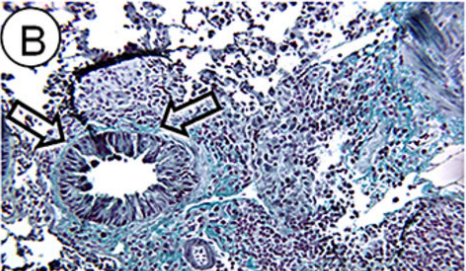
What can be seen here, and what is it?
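A small airway of the lung is seen in cross-section, lined by a tall, dark purple epithelium around a narrow open lumen. Around the airway lies a thick band of blue-green fibrous material, and beyond it the tissue is crowded with densely packed small nuclei that fill much of the space where alveoli would be.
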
